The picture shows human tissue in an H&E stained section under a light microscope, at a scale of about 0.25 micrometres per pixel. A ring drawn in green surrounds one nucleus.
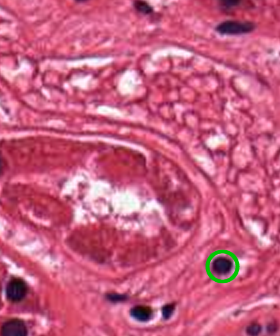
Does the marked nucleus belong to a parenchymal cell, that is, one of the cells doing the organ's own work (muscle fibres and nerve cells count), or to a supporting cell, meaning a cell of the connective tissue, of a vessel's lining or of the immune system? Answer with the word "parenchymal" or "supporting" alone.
supporting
